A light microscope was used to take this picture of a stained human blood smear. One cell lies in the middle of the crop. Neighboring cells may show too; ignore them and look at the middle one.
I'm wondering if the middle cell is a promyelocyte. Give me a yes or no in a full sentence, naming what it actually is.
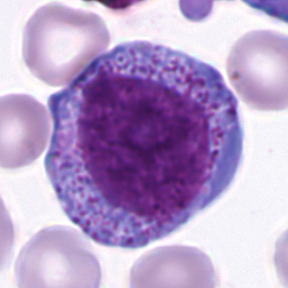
Yes, the central element of the crop is a promyelocyte.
